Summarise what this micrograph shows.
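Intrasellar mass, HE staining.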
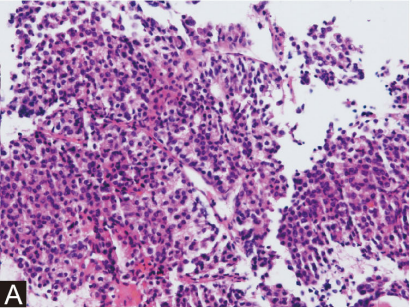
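Tumor tissue made of densely packed, polymorphic cells arranged in solid nests and sheets, separated by thin strands of pink stroma. Cell borders are indistinct and the cells crowd against one another. Narrow clefts and spaces separate the nests, and small fragments of cells lie detached at the edges of the tissue.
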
